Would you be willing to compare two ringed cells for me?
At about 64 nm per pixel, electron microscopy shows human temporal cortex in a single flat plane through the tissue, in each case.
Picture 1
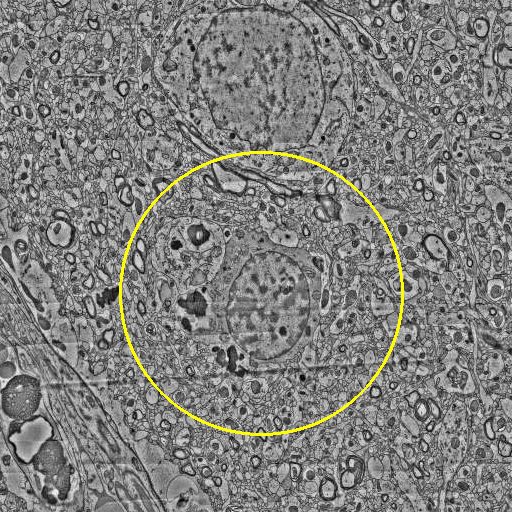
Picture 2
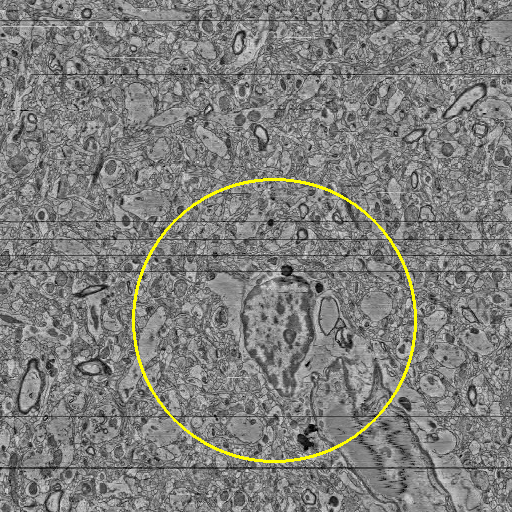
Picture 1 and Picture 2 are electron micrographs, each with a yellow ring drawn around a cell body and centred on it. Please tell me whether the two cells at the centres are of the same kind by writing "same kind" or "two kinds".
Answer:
two kinds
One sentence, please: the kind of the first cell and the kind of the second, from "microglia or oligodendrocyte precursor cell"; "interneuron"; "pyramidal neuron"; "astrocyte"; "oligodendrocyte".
The ring in the first picture surrounds an oligodendrocyte, and the ring in the second surrounds a microglial cell or oligodendrocyte precursor cell.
